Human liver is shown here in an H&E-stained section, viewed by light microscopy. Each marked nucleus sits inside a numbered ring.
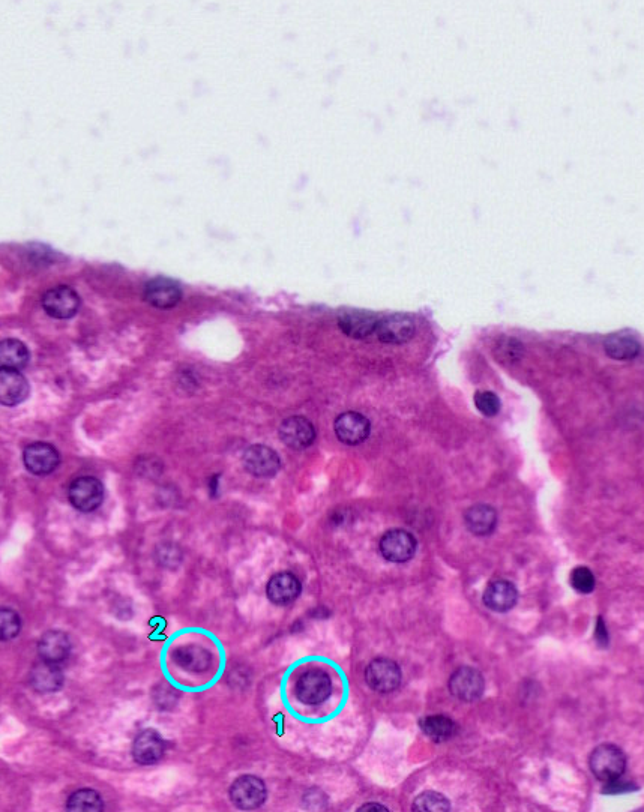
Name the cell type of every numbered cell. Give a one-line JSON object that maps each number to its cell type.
{"1": "hepatocyte", "2": "Kupffer cell"}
